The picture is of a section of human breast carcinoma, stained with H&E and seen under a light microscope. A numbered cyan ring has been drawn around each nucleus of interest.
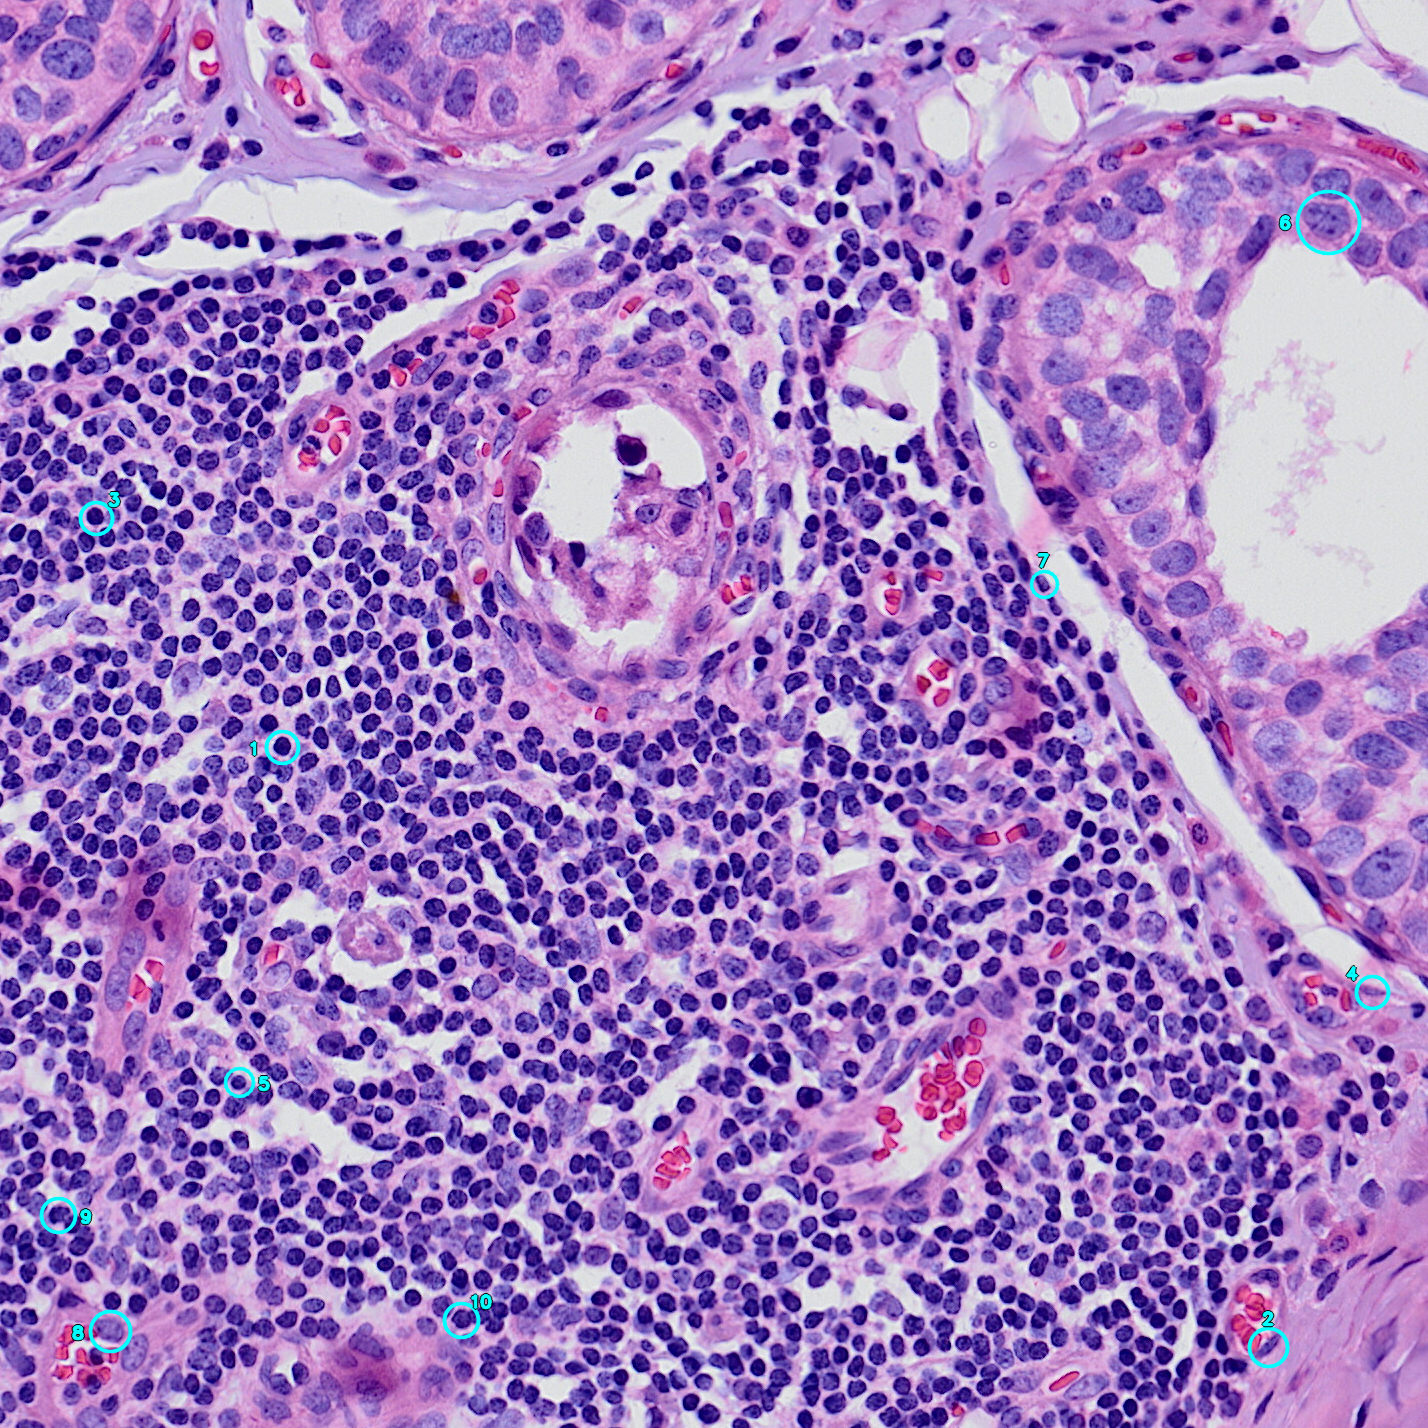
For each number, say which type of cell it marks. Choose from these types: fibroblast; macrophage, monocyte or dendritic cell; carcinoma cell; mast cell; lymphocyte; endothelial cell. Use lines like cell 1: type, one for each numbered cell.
cell 1: lymphocyte
cell 2: endothelial cell
cell 3: lymphocyte
cell 4: endothelial cell
cell 5: lymphocyte
cell 6: carcinoma cell
cell 7: lymphocyte
cell 8: endothelial cell
cell 9: lymphocyte
cell 10: lymphocyte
